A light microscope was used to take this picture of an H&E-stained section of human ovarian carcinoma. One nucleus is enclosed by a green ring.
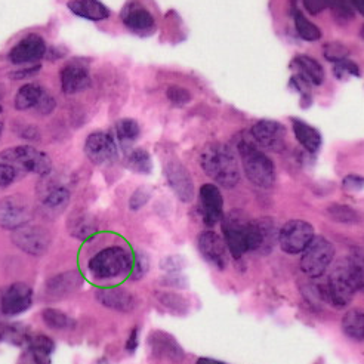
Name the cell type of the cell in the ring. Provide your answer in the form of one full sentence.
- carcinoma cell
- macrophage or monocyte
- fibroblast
Recorded by type, the cell in the ring is a carcinoma cell.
